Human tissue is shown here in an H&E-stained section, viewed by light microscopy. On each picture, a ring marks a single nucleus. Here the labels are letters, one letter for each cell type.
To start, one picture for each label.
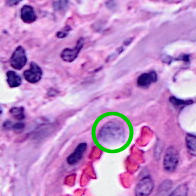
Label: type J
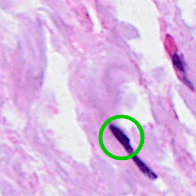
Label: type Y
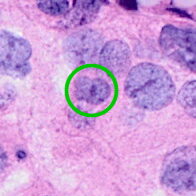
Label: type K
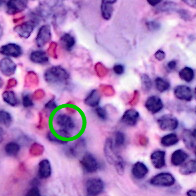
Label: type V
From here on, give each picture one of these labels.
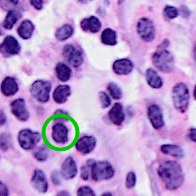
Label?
type V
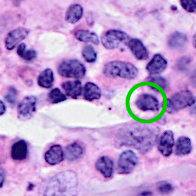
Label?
type V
